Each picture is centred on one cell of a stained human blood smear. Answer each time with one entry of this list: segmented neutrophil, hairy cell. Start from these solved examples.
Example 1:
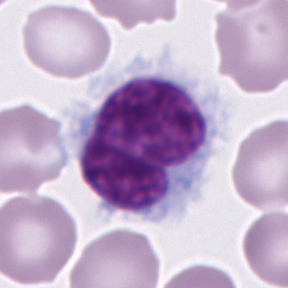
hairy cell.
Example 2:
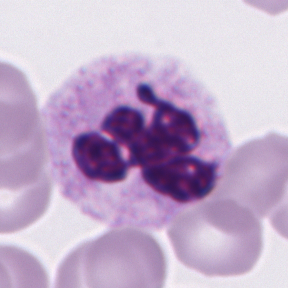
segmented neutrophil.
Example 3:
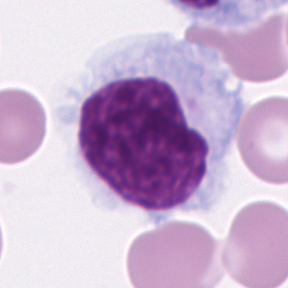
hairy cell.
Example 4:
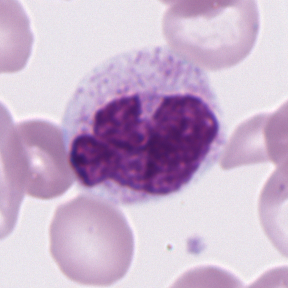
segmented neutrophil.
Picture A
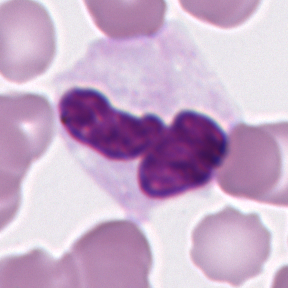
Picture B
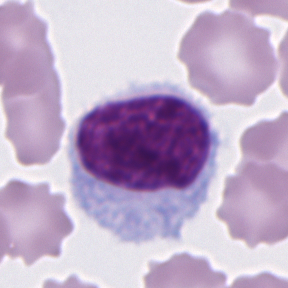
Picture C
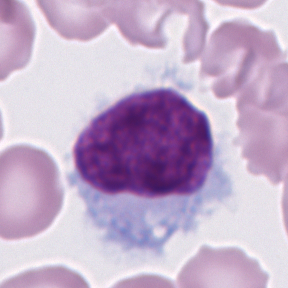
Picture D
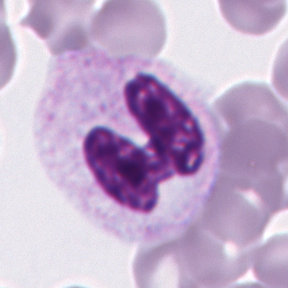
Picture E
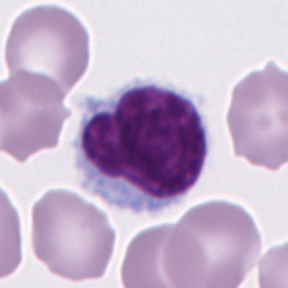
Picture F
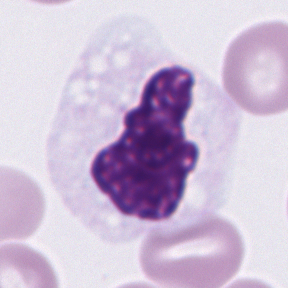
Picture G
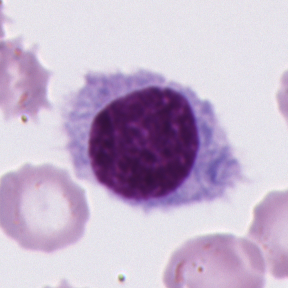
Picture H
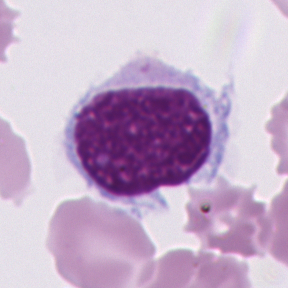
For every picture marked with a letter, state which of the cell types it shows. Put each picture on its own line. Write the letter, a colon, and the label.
A: segmented neutrophil.
B: hairy cell.
C: hairy cell.
D: segmented neutrophil.
E: hairy cell.
F: segmented neutrophil.
G: hairy cell.
H: hairy cell.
